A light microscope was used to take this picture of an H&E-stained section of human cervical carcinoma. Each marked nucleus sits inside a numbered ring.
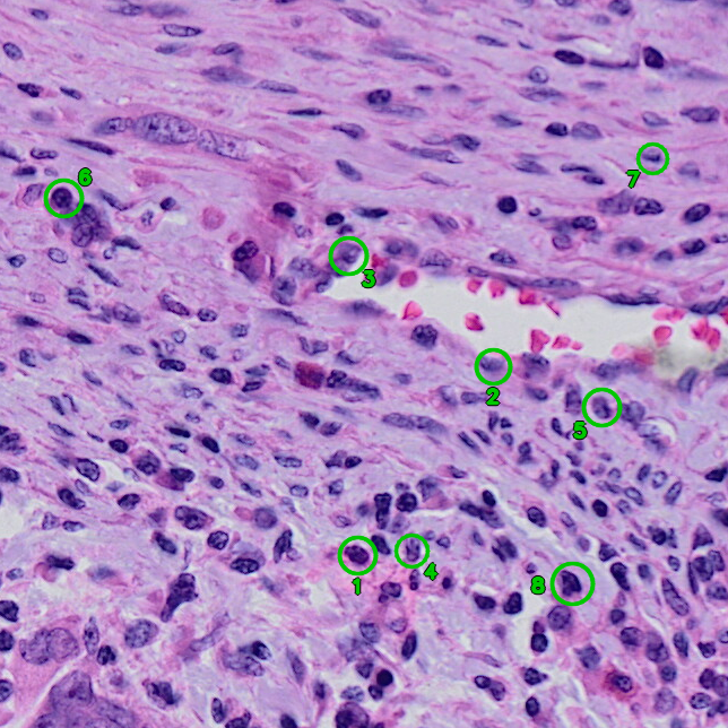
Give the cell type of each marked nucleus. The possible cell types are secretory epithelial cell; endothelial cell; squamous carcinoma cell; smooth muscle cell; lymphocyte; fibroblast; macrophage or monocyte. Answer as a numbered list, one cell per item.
1. lymphocyte
2. endothelial cell
3. endothelial cell
4. lymphocyte
5. lymphocyte
6. lymphocyte
7. smooth muscle cell
8. lymphocyte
